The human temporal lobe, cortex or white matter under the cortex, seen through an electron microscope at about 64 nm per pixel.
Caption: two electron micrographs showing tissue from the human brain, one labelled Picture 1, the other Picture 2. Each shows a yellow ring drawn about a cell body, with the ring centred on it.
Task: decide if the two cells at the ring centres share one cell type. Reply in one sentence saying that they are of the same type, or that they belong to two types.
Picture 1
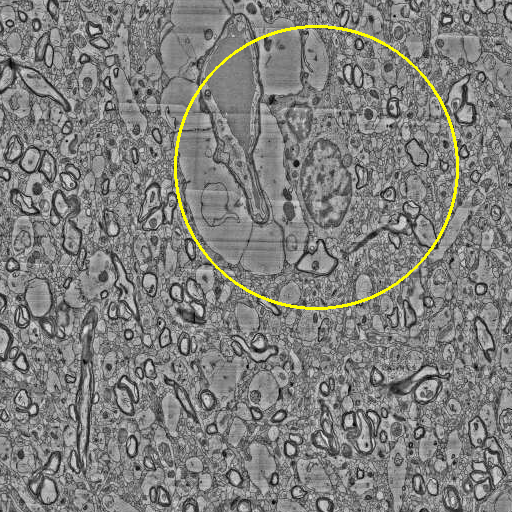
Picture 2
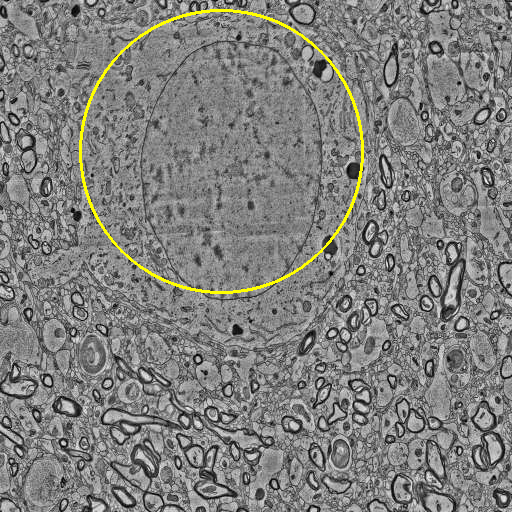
The cells at the ring centres in Picture 1 and Picture 2 belong to two types.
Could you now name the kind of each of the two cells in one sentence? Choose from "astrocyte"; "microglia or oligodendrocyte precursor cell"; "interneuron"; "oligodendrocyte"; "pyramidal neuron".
The first ring encloses an oligodendrocyte; the second ring encloses a pyramidal neuron.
